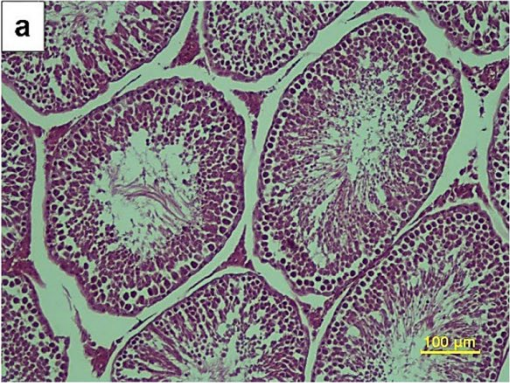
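Cross-sections of testis tubules lie closely packed, each lined by a thick stratified epithelium of germ cells with dark purple round nuclei arranged in layers from the basal border towards the lumen. The centres of the tubules are filled with pale pink fibrillar tails of late germ cells, and narrow pale spaces separate the tubules from one another.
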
